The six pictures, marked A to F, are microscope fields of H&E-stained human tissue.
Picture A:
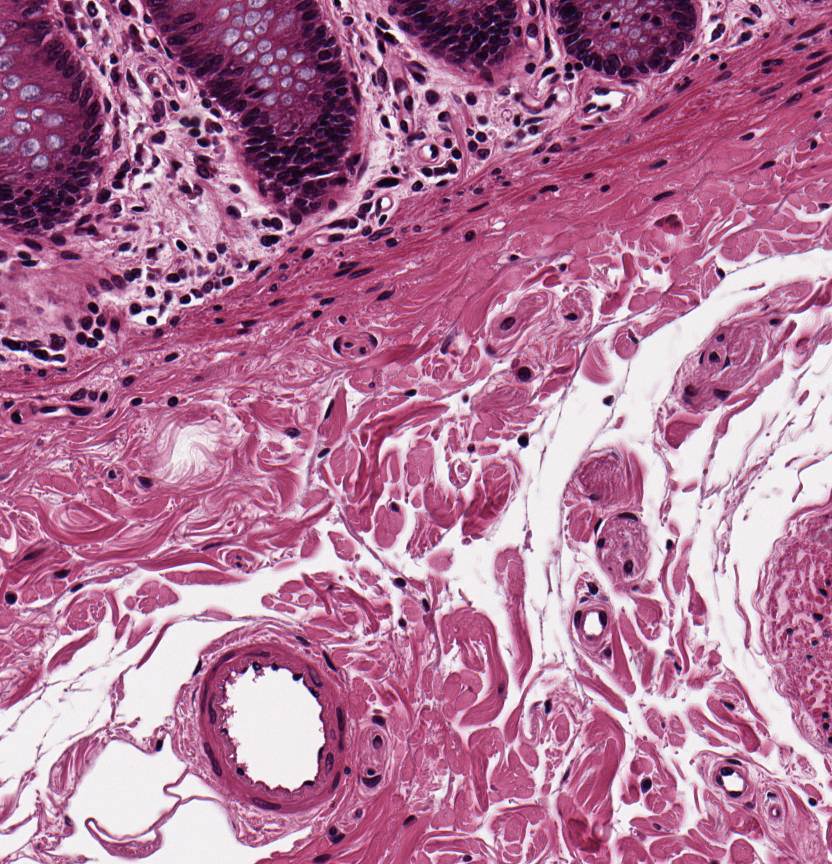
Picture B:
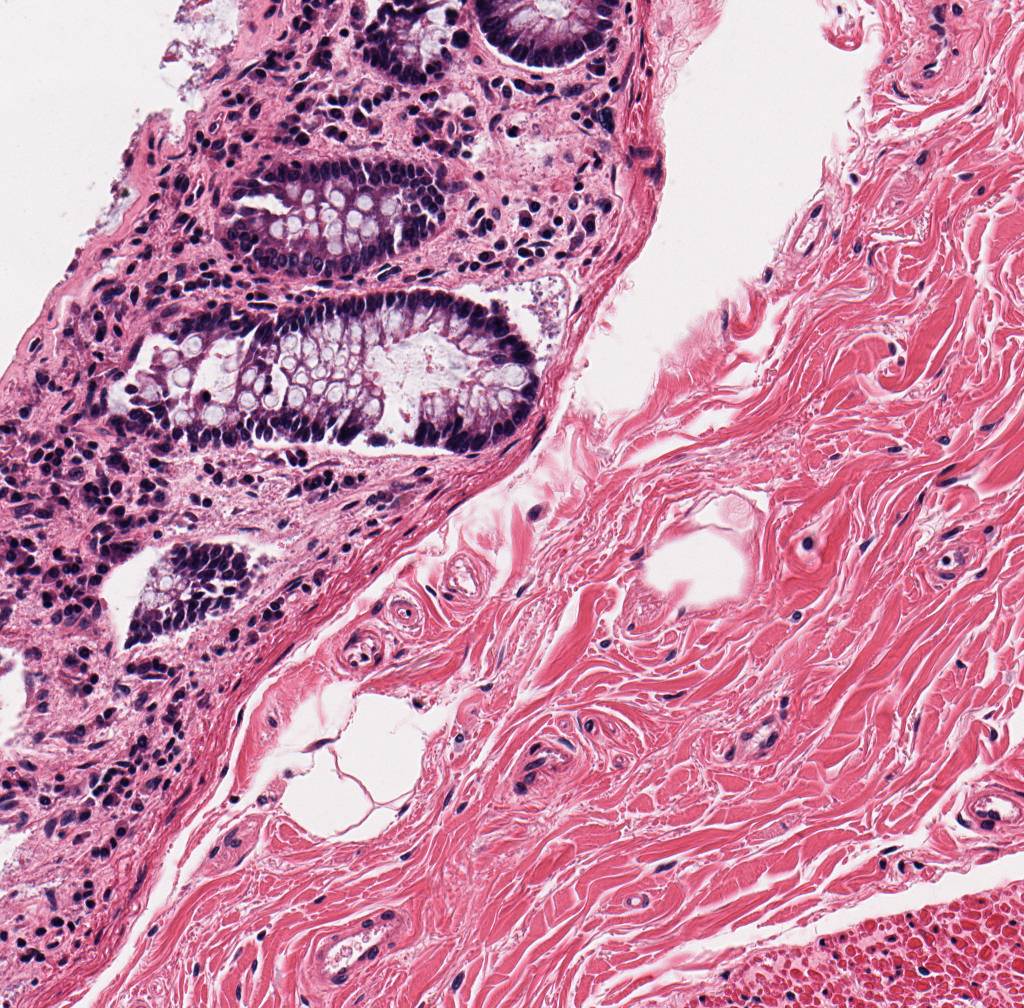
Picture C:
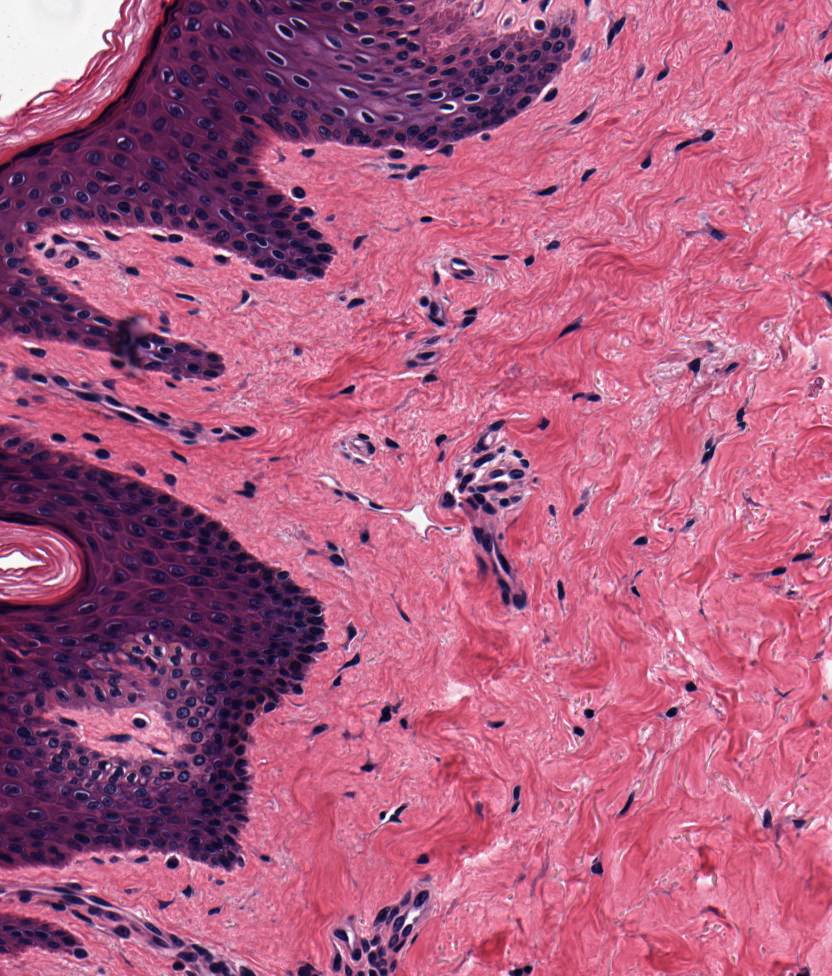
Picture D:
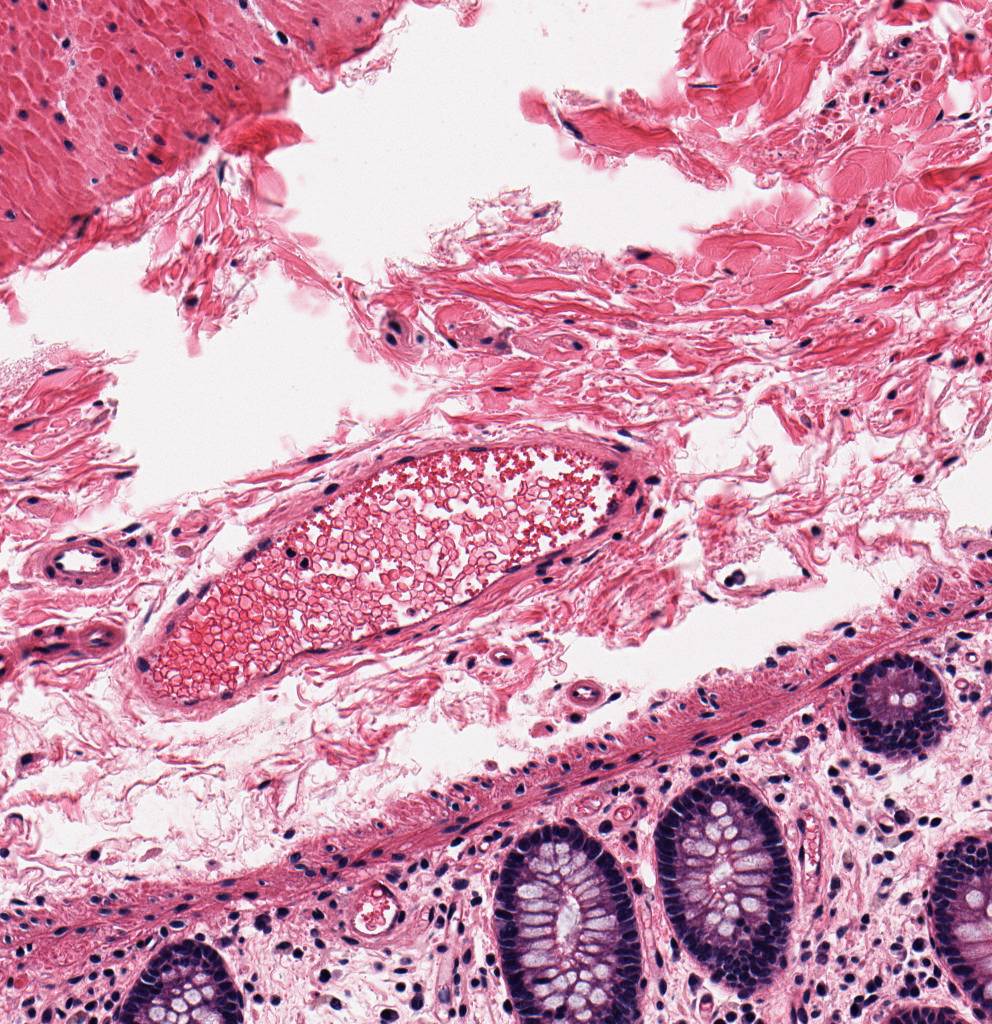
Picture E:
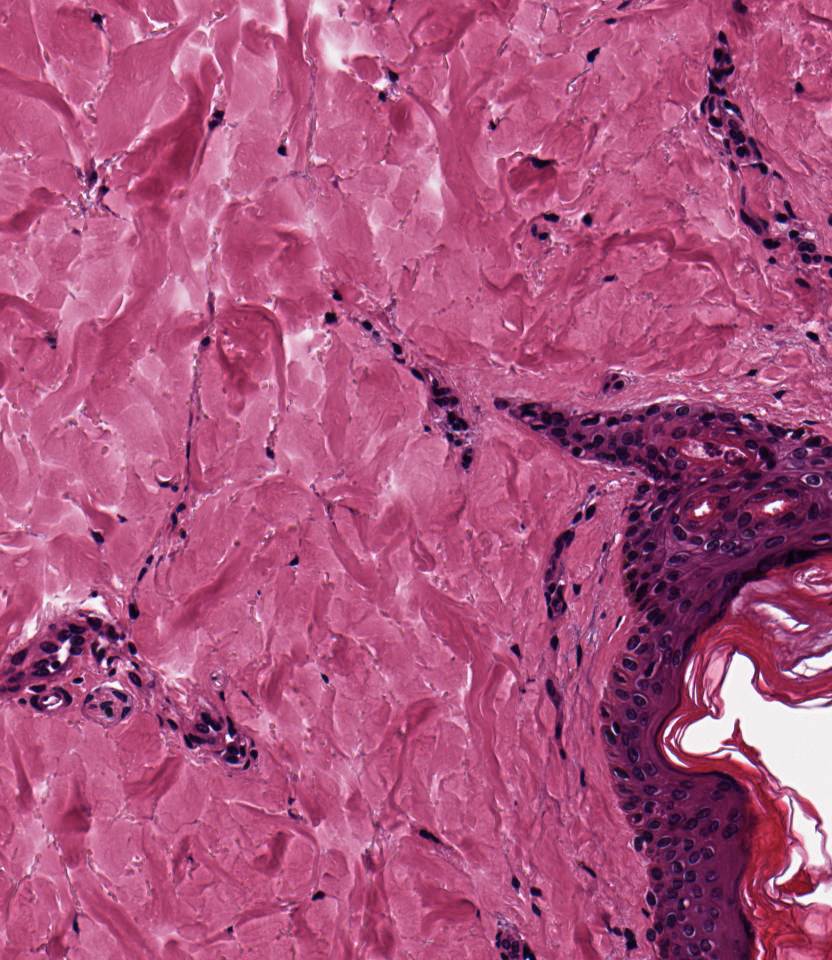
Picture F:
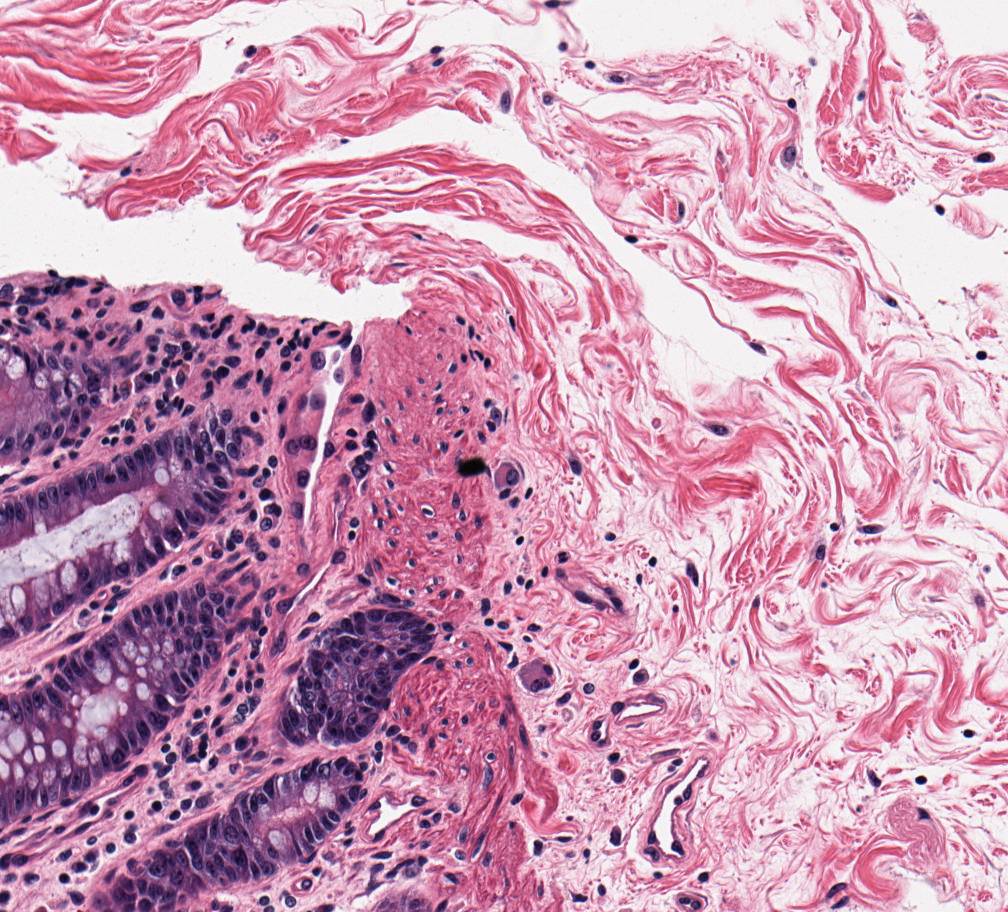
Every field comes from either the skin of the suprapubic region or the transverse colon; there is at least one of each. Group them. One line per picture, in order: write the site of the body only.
transverse colon
transverse colon
skin of the suprapubic region
transverse colon
skin of the suprapubic region
transverse colon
